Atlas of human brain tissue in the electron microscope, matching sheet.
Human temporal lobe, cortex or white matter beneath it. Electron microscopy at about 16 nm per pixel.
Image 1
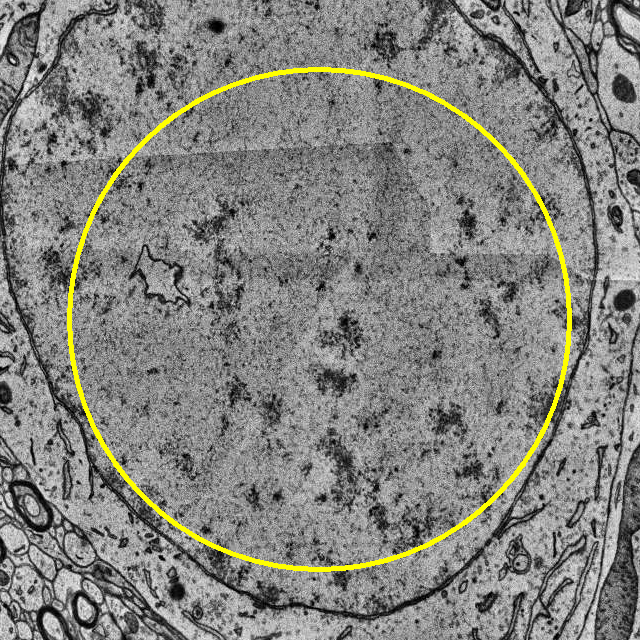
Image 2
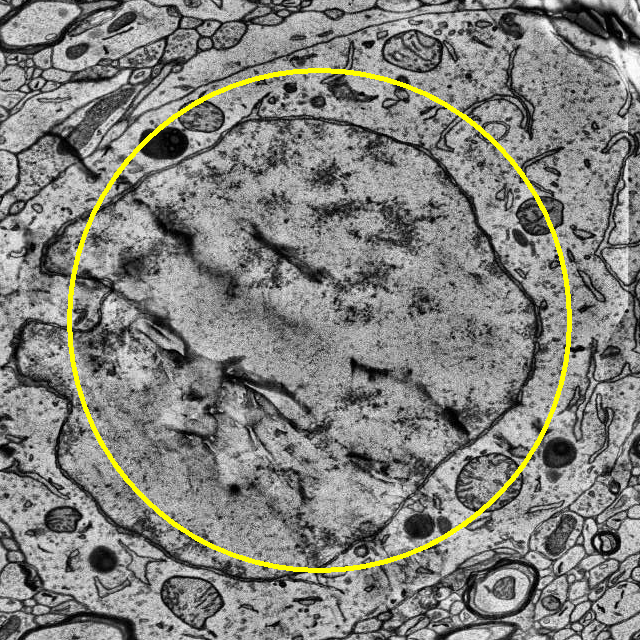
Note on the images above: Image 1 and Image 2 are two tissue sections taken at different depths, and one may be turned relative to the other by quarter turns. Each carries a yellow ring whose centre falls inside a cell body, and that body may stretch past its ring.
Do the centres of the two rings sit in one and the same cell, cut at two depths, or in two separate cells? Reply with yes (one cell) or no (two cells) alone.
yes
